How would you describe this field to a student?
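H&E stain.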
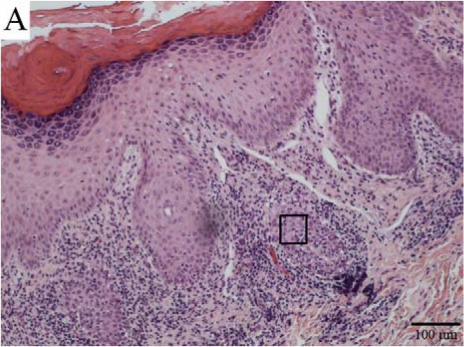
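This low-power view shows skin with a squamous epidermis above and a dermis densely filled with inflammatory cells below. At the top the surface is covered by a thick, compact, orange-red cornified layer. Between and below these ridges the papillary dermis is crowded with countless small dark nuclei of an inflammatory infiltrate. A few thin clefts and small vessels cross the dermis, and paler pink connective tissue fibres appear at the lower right.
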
